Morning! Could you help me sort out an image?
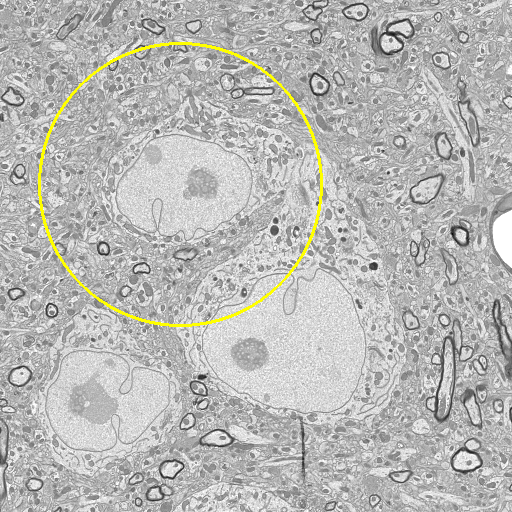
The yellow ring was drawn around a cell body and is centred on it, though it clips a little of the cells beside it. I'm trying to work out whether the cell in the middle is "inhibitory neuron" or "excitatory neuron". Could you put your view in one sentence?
The ringed cell body is that of an inhibitory neuron.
